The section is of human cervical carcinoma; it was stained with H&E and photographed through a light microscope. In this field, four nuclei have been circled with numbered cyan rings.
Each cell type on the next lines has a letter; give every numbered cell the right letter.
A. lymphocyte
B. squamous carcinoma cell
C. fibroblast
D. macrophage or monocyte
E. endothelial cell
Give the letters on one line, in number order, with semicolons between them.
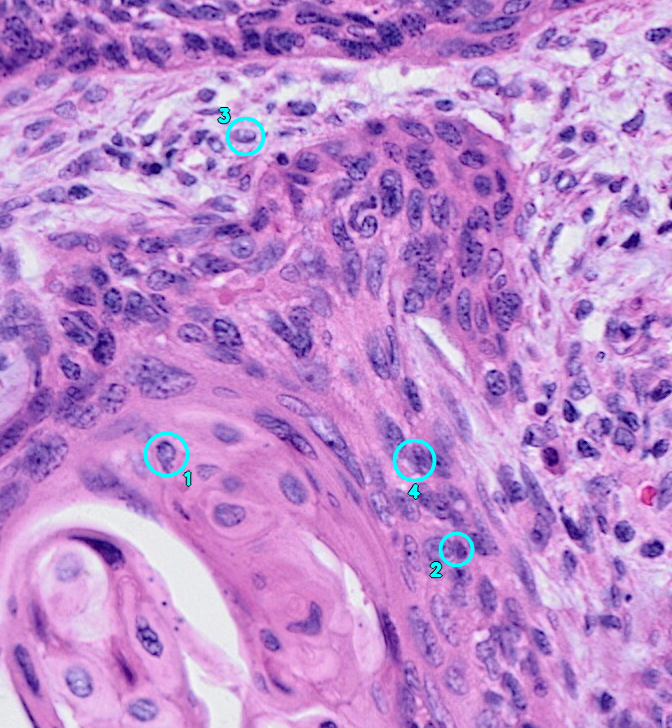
B; B; C; B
